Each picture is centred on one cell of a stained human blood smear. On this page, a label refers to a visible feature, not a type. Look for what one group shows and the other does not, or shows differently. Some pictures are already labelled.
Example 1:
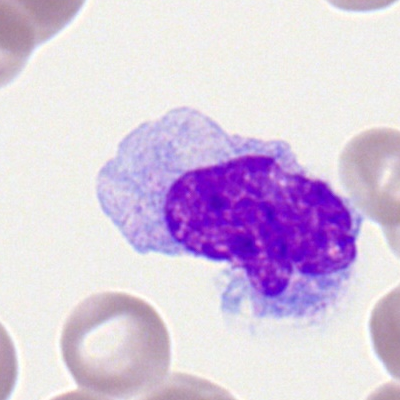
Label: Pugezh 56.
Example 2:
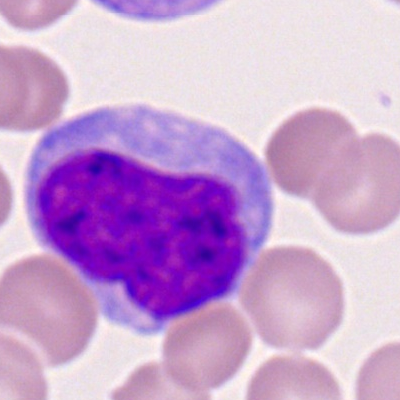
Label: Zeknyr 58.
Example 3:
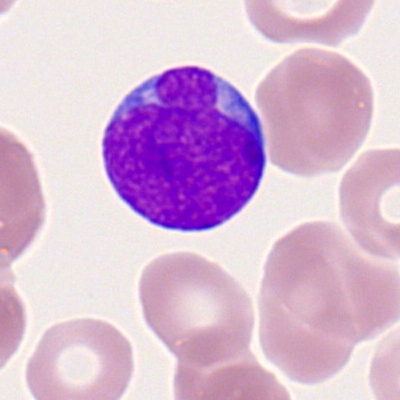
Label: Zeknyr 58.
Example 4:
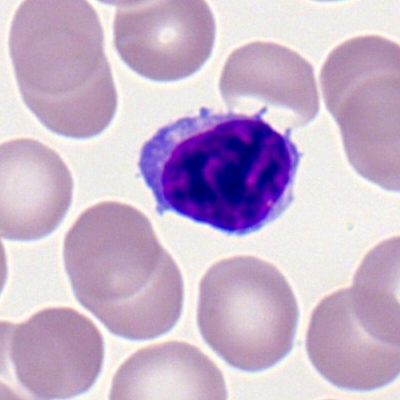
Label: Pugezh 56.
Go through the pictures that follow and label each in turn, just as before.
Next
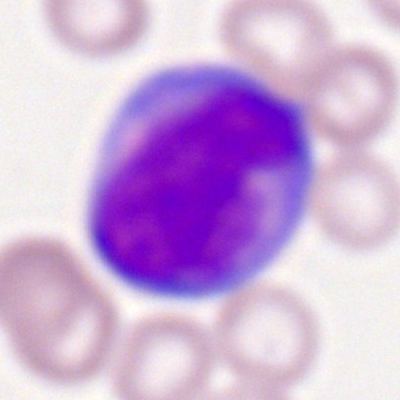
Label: Zeknyr 58.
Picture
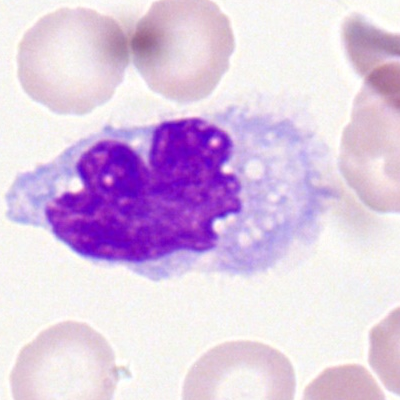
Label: Pugezh 56.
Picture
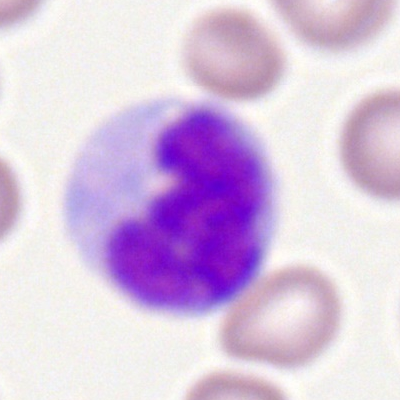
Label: Zeknyr 58.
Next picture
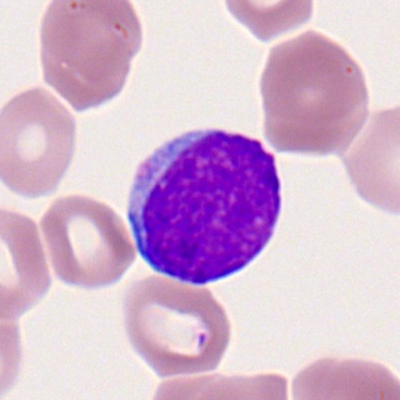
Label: Zeknyr 58.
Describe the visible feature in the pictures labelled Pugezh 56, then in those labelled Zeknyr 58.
Pugezh 56: ragged outline or projections; Zeknyr 58: smooth outline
